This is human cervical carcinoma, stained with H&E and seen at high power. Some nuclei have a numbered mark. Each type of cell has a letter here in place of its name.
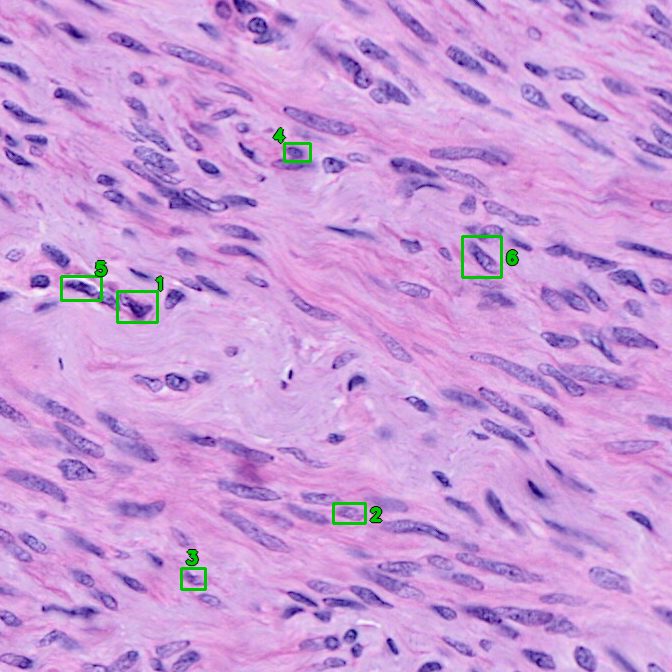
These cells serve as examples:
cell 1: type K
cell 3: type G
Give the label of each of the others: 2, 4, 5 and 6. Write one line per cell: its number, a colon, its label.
2: type G
4: type G
5: type K
6: type G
